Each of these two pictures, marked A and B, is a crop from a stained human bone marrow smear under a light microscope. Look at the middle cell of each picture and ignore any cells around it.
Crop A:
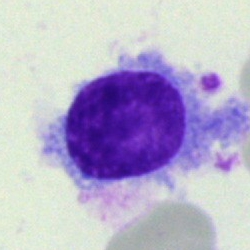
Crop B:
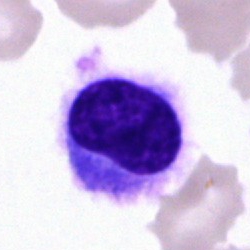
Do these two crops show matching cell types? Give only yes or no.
yes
